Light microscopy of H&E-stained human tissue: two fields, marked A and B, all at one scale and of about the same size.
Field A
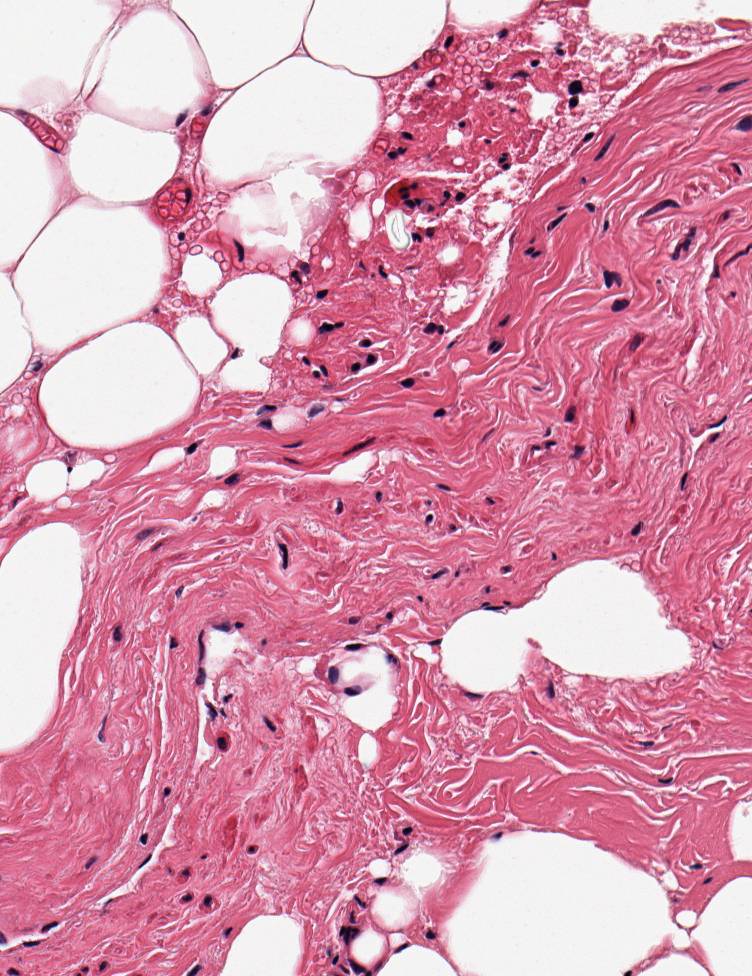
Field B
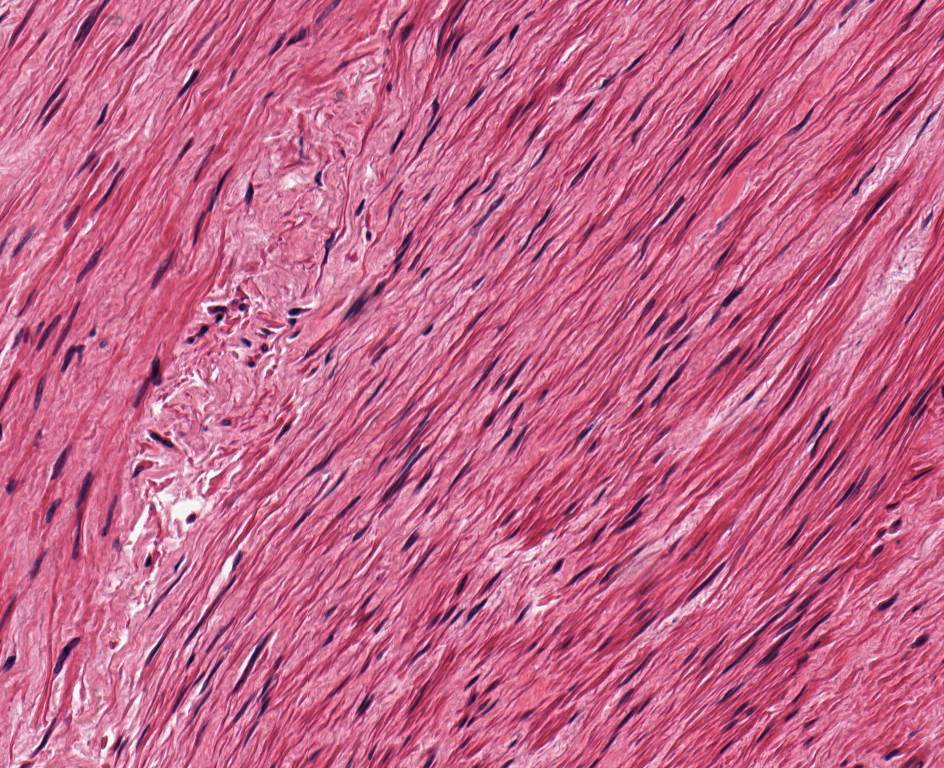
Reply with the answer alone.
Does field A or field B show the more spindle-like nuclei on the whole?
B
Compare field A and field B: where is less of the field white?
B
